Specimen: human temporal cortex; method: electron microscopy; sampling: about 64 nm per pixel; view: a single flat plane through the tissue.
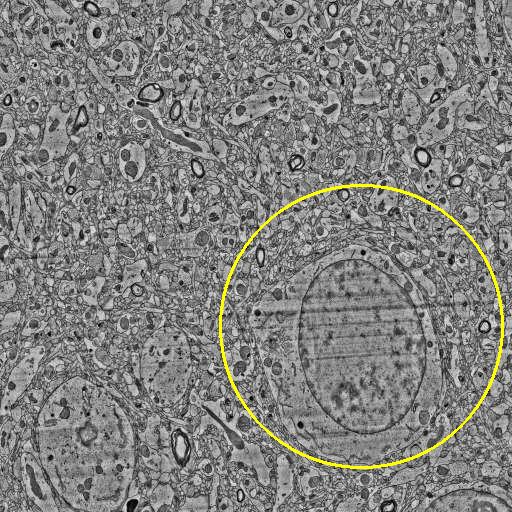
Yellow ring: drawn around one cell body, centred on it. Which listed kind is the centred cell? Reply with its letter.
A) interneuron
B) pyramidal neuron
B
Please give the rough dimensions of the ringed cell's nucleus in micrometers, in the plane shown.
In this plane, roughly 11 by 8 micrometres.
